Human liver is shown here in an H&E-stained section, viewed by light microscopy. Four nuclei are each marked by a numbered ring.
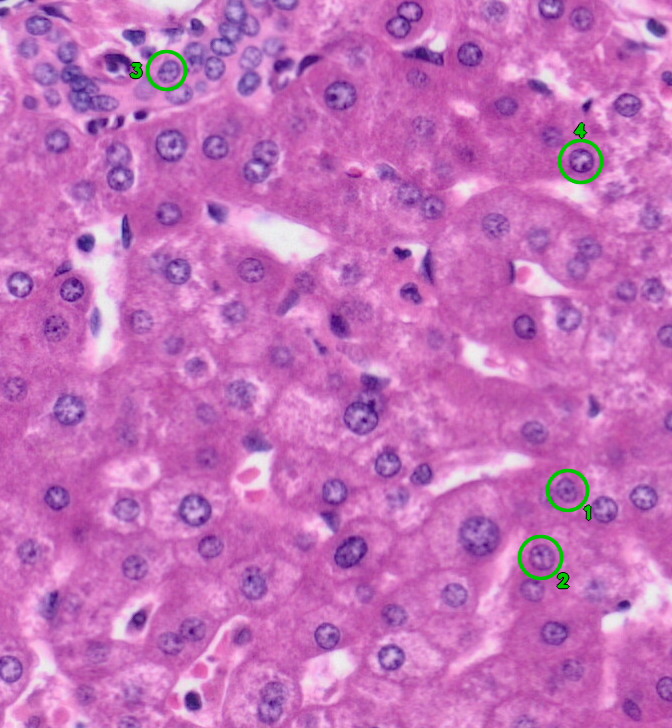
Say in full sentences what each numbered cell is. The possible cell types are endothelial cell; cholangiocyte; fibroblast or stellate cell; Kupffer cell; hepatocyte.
Cells 1, 2 and 4 are hepatocytes. Cell 3 is a cholangiocyte.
